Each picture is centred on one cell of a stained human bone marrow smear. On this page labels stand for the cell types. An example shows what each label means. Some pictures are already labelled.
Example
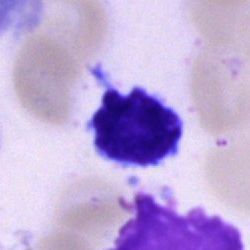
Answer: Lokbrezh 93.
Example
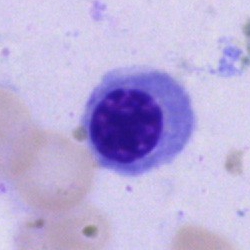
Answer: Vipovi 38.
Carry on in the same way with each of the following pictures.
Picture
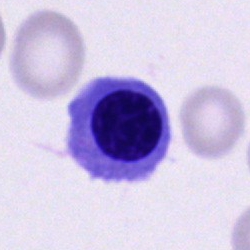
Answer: Vipovi 38.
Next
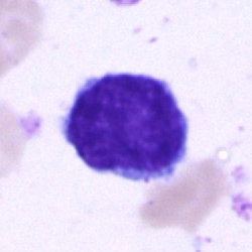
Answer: Lokbrezh 93.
